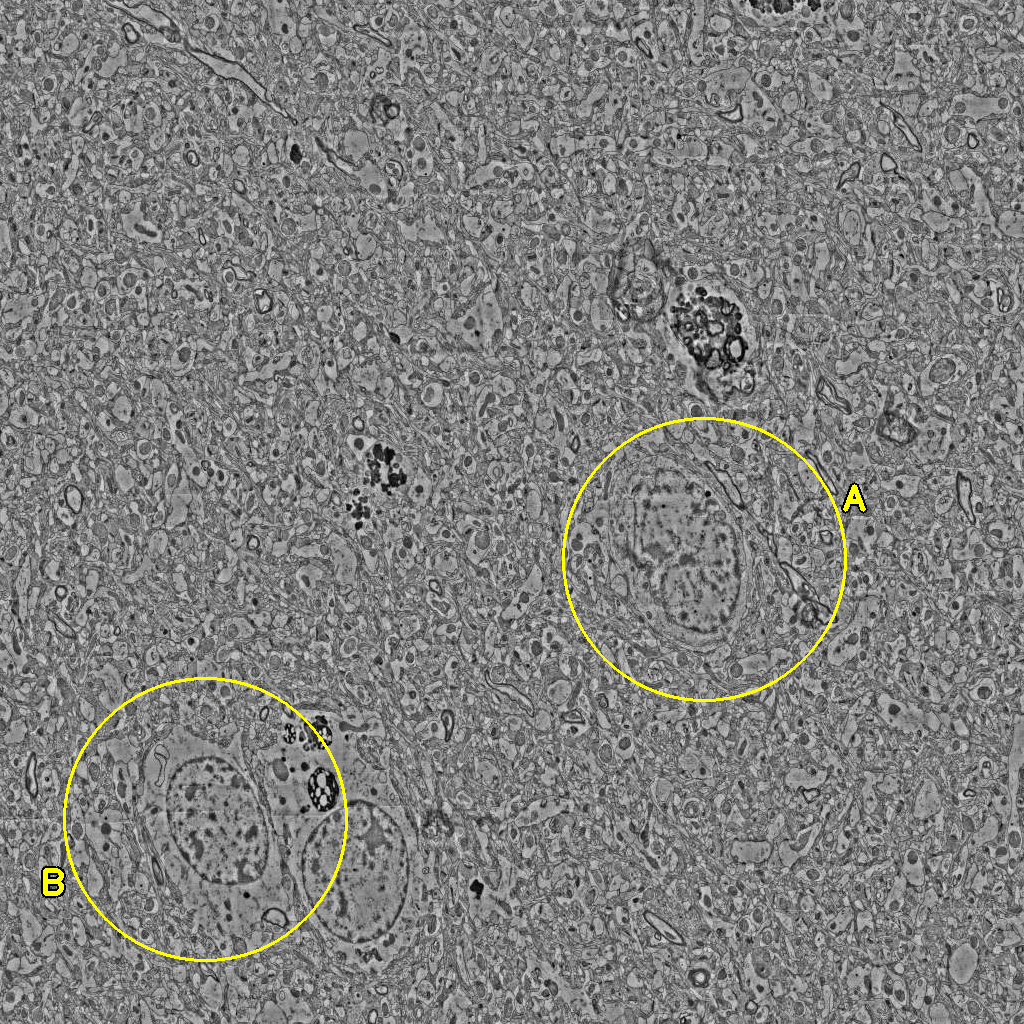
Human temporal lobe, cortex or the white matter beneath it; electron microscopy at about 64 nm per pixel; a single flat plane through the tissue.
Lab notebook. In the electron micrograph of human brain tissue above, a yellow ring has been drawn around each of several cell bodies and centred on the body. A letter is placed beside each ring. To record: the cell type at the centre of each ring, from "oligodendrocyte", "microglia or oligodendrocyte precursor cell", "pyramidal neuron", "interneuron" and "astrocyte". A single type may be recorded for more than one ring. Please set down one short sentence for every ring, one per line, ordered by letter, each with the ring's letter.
The centre of ring A is occupied by an interneuron.
The centre of ring B is occupied by an astrocyte.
